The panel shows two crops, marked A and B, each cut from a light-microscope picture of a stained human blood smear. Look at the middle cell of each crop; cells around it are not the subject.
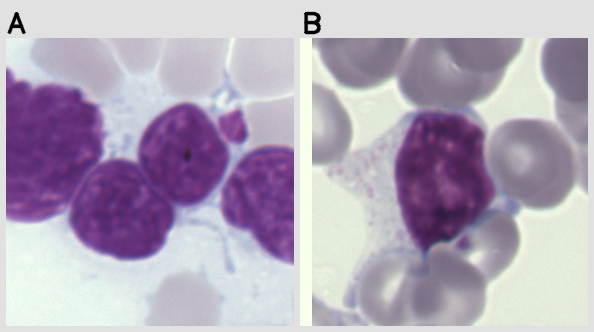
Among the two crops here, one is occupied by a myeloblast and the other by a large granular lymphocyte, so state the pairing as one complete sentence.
The centred cell is a myeloblast in crop A and a large granular lymphocyte in crop B.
